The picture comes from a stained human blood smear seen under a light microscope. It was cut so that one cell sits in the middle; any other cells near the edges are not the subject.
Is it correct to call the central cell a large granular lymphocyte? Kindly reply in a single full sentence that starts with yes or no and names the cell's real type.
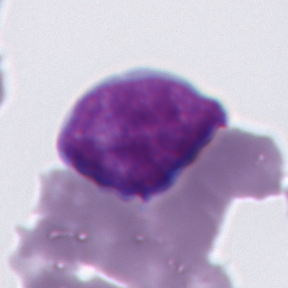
No, the cell positioned in the middle is a myeloblast, not a large granular lymphocyte.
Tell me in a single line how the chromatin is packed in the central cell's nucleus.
Check the chromatin: it is fine and not coarsely clumped.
